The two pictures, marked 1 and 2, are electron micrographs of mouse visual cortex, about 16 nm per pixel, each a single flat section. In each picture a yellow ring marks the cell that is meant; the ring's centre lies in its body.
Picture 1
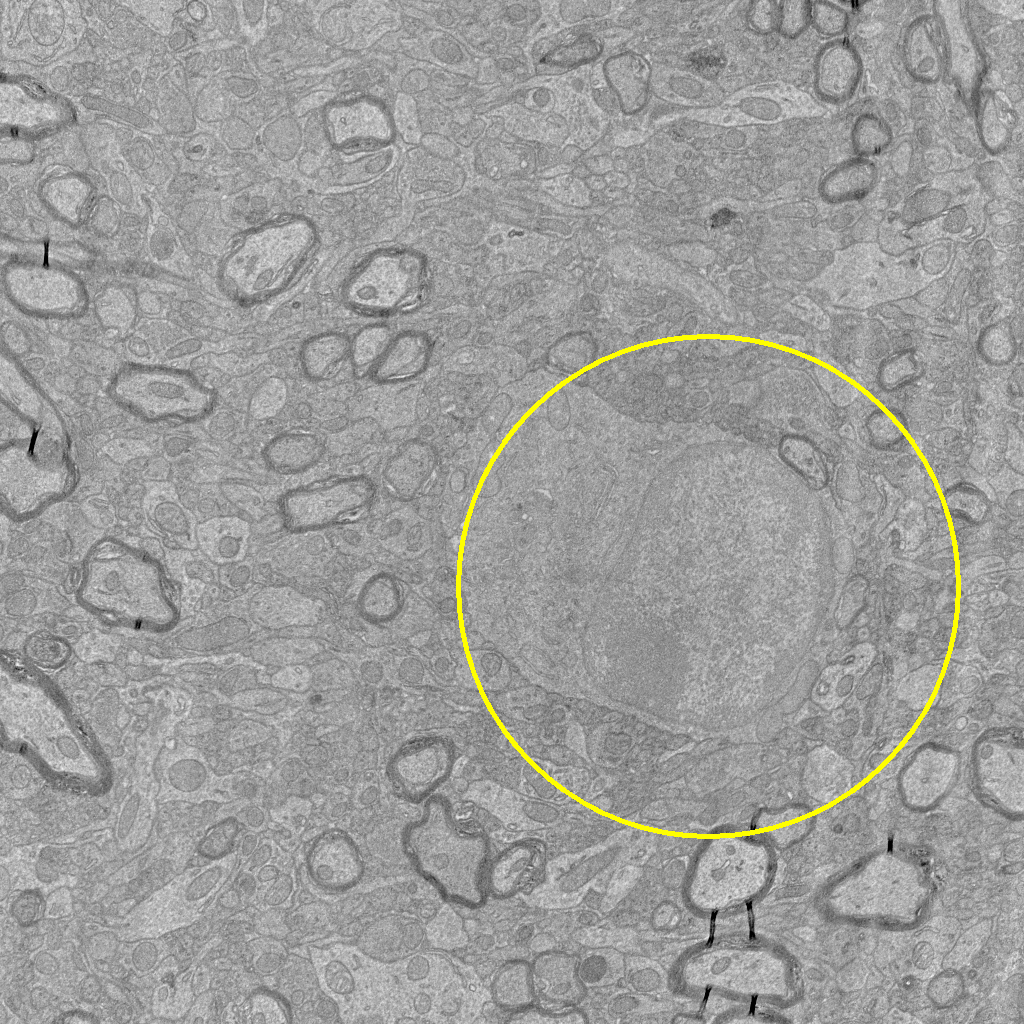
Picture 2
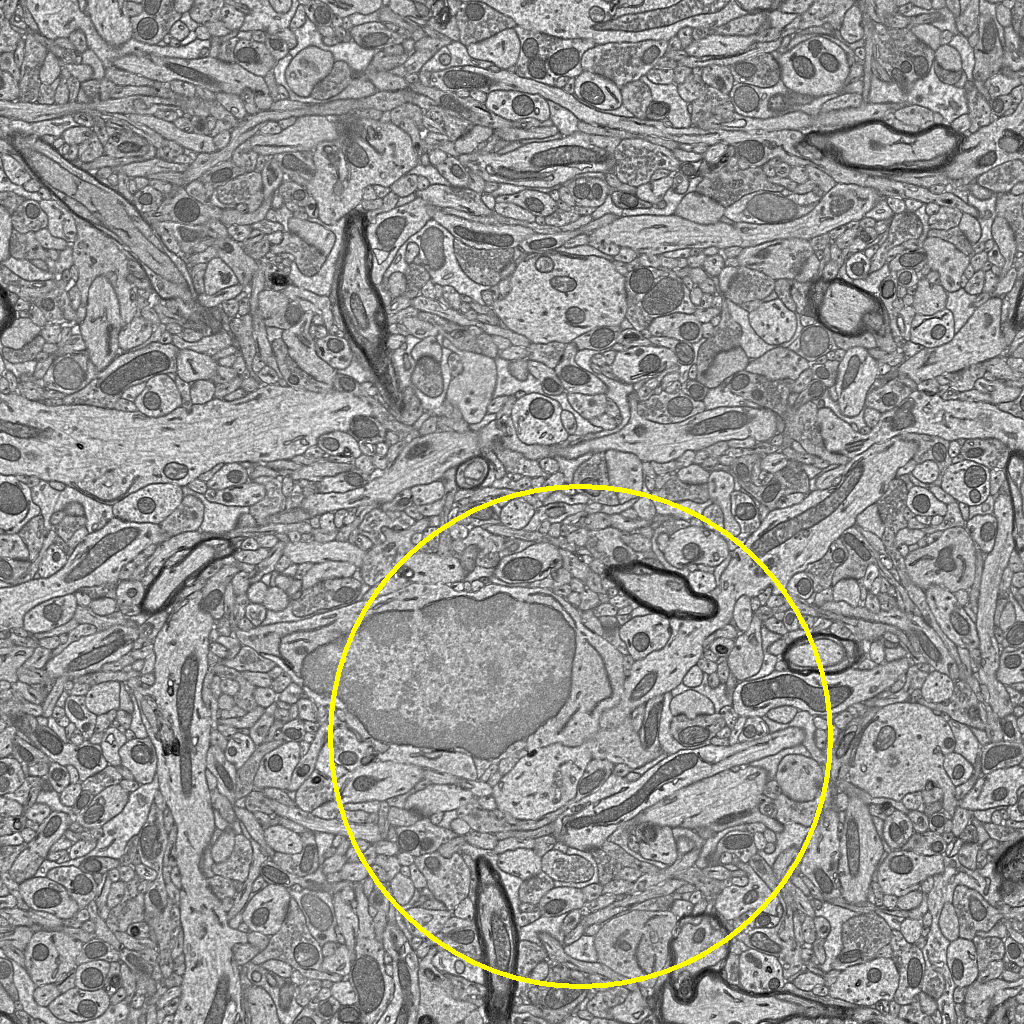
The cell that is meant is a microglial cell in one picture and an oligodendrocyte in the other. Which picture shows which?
Picture 1 is of an oligodendrocyte, and picture 2 is of a microglial cell.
